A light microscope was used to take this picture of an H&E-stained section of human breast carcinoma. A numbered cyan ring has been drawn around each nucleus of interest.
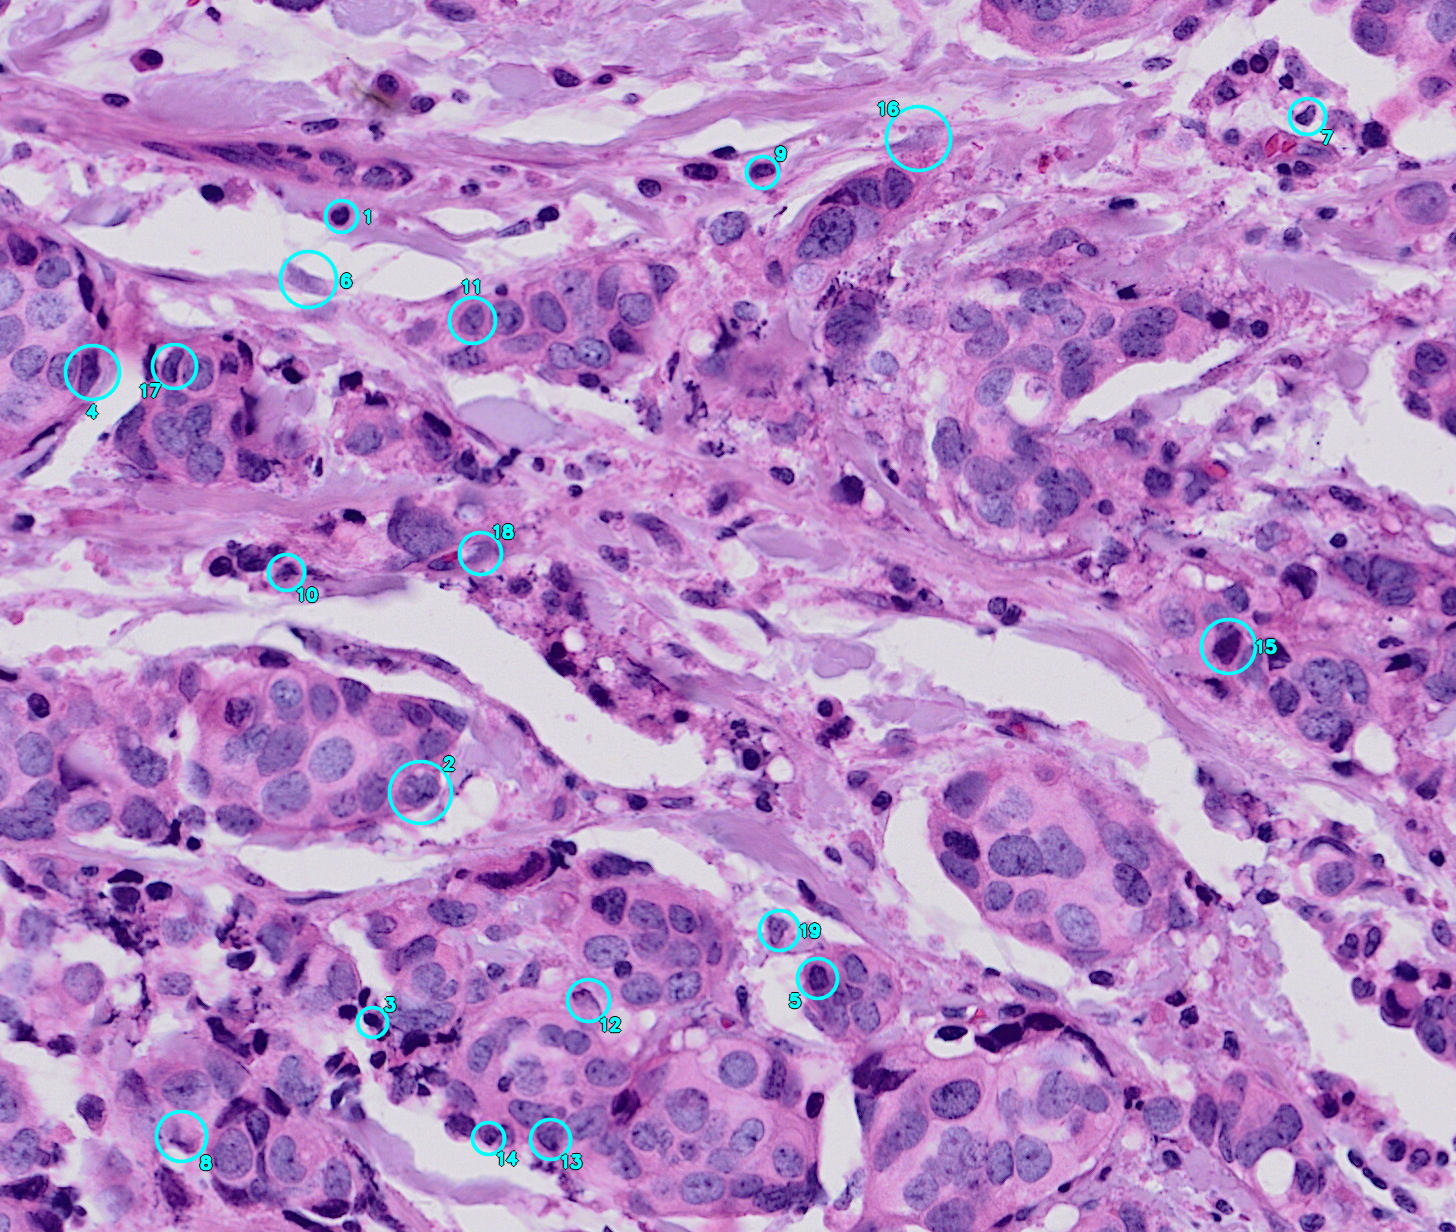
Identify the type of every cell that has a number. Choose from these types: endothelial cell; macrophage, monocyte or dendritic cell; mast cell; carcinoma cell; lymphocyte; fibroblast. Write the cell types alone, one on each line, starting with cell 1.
mast cell
carcinoma cell
lymphocyte
carcinoma cell
carcinoma cell
fibroblast
lymphocyte
carcinoma cell
mast cell
lymphocyte
carcinoma cell
carcinoma cell
carcinoma cell
lymphocyte
carcinoma cell
fibroblast
carcinoma cell
endothelial cell
macrophage, monocyte or dendritic cell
